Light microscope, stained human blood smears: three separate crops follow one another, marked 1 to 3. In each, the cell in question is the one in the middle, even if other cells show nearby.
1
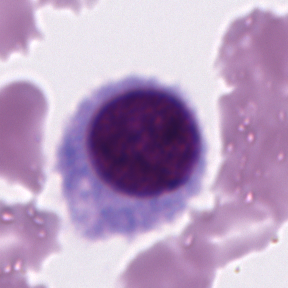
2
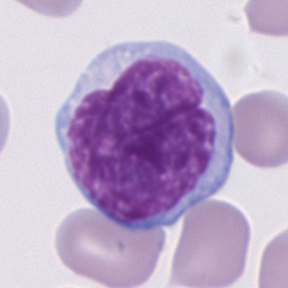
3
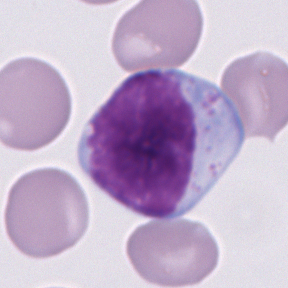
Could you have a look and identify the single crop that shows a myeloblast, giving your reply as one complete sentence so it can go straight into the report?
Crop 2, of the crops presented, is the one showing a myeloblast.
